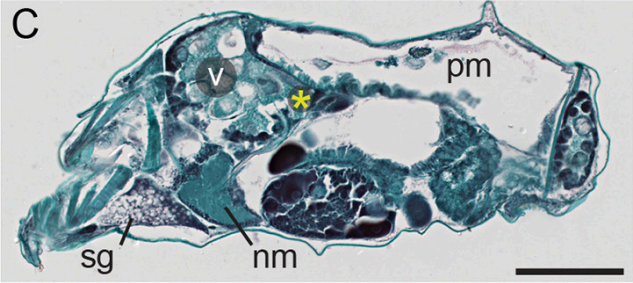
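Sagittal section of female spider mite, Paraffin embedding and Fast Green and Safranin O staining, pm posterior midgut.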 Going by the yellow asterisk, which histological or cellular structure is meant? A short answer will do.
Esophageal valve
